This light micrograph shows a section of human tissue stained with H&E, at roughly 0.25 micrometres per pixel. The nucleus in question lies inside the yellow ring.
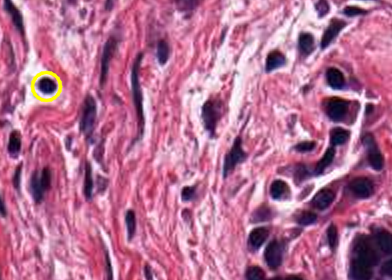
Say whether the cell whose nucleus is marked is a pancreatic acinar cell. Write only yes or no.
no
